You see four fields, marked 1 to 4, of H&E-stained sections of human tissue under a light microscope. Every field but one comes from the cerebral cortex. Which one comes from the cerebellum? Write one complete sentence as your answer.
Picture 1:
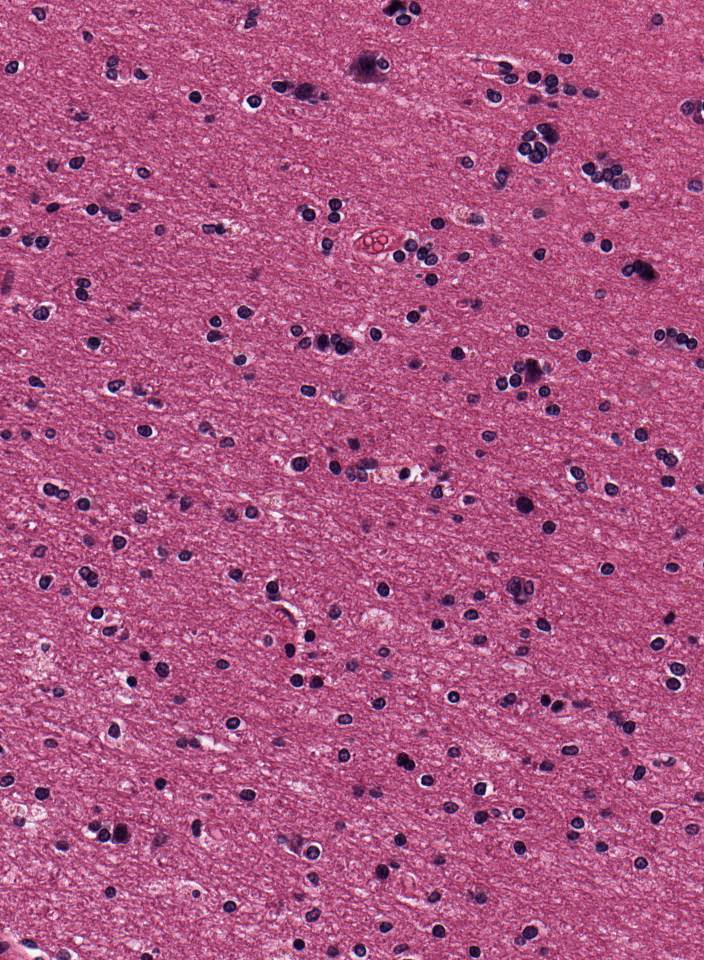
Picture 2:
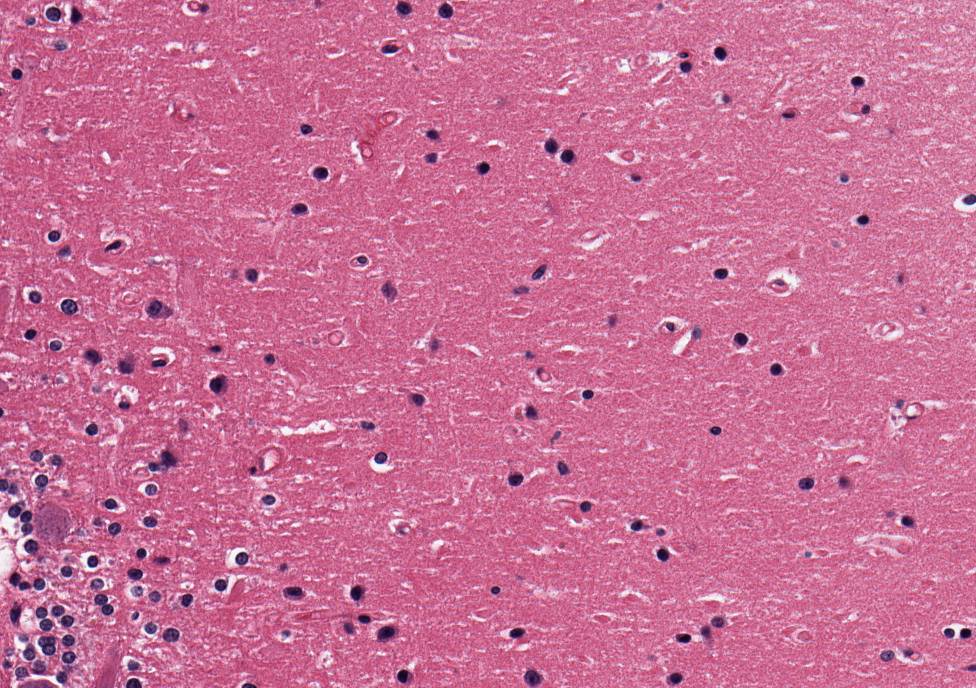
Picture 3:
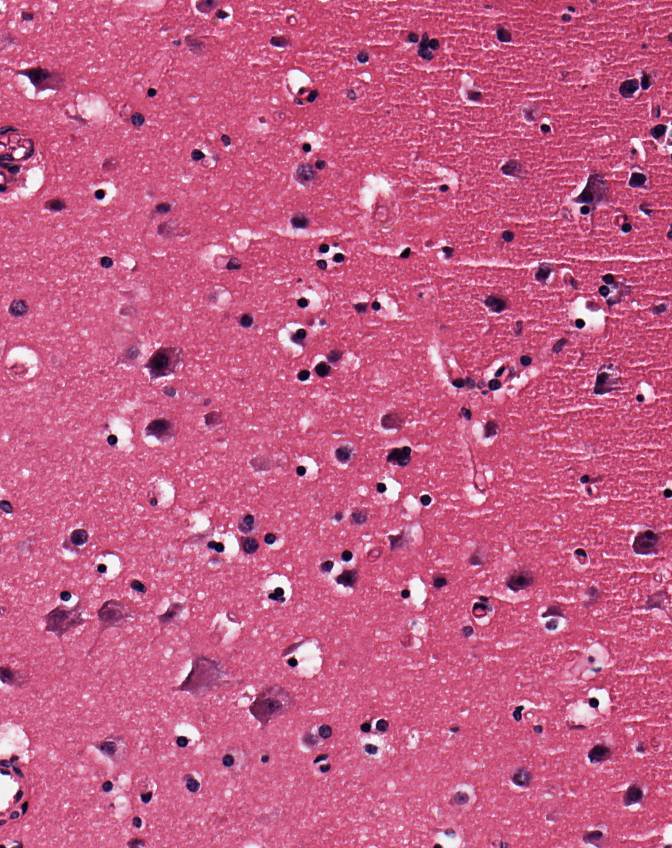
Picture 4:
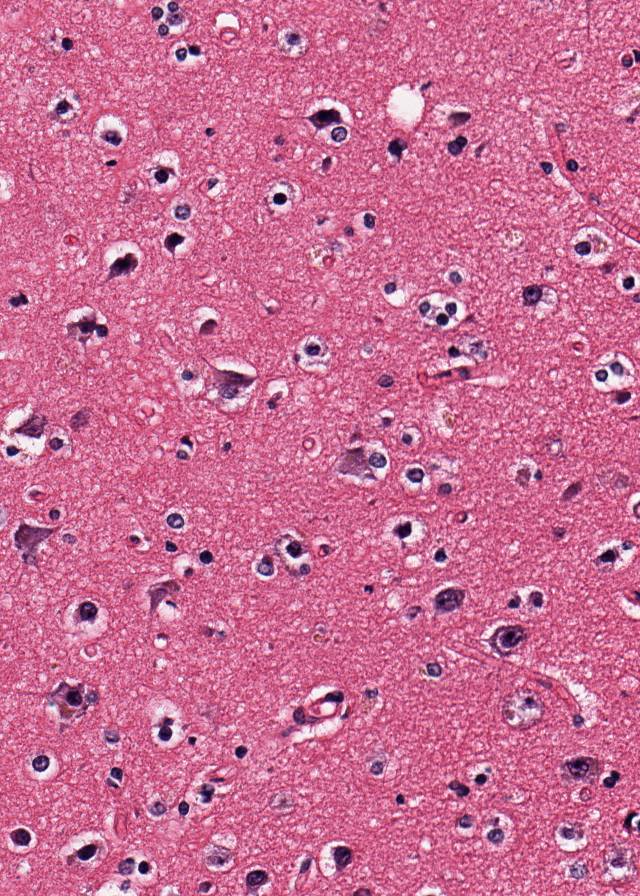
It is picture 2 that comes from the cerebellum.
